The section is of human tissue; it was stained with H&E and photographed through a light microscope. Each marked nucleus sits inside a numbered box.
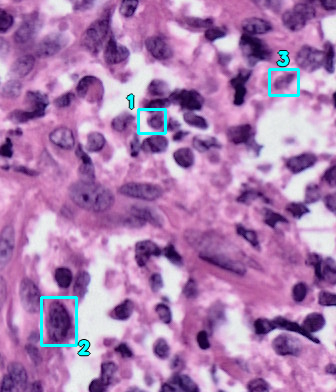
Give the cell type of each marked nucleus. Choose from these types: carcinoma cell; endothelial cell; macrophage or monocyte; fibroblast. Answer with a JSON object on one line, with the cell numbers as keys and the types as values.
{"1": "carcinoma cell", "2": "carcinoma cell", "3": "macrophage or monocyte"}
